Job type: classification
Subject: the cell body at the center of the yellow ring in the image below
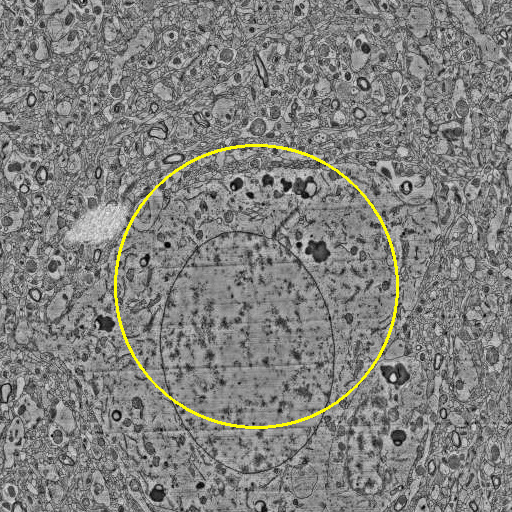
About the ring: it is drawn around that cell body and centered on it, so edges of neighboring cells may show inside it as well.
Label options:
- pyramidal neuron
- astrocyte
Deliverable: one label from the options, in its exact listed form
pyramidal neuron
